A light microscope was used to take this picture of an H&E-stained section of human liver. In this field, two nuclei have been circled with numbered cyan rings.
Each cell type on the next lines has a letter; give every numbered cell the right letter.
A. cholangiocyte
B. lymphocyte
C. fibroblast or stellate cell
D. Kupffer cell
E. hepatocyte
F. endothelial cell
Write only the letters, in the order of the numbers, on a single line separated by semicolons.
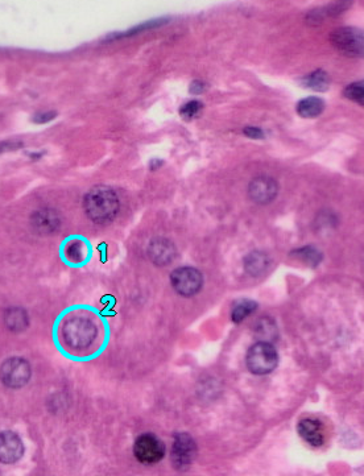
C; E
